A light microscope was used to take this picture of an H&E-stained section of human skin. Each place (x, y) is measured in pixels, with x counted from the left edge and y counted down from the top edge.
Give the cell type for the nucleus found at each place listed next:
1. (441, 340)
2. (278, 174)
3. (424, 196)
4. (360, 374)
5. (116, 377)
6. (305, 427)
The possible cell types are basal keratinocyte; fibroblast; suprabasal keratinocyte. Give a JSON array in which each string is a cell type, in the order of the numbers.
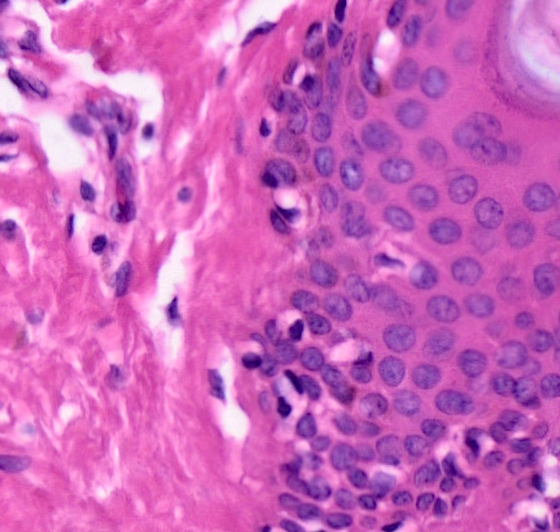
["suprabasal keratinocyte", "basal keratinocyte", "suprabasal keratinocyte", "basal keratinocyte", "fibroblast", "basal keratinocyte"]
